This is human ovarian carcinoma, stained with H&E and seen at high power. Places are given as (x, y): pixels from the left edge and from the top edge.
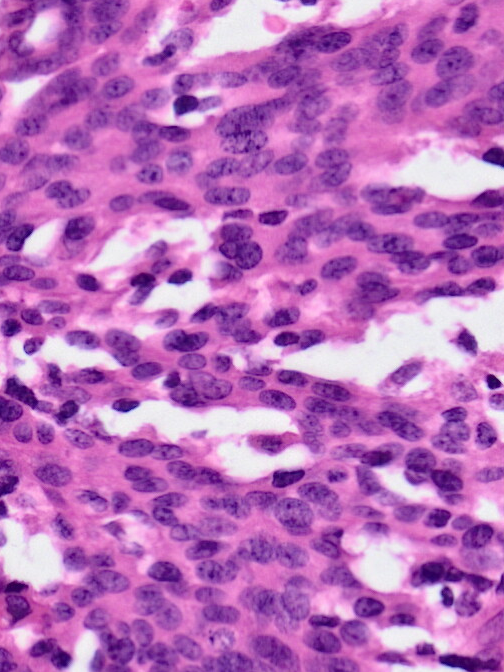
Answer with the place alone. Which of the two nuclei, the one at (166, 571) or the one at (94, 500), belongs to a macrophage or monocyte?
(94, 500)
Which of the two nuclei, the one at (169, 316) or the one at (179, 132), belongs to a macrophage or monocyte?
(169, 316)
